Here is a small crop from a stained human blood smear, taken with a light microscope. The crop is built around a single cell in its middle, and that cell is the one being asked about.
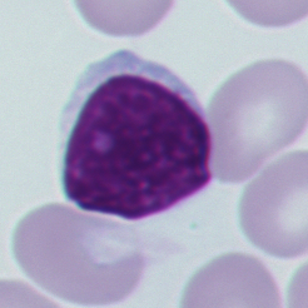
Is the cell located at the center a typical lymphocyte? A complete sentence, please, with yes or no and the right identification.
Yes, the cell in the middle of this smear crop is a typical lymphocyte.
